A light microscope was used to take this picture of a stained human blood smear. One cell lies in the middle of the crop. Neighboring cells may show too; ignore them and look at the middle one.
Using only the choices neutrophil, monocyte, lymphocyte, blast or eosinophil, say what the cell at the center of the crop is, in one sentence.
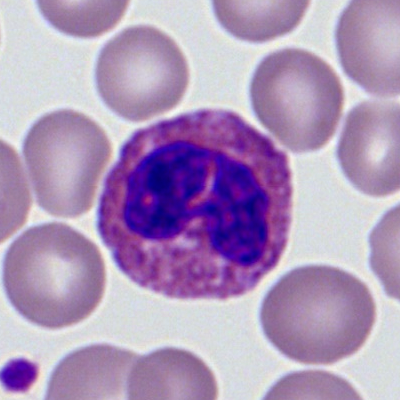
Whatever else lies nearby, the middle cell is an eosinophil.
